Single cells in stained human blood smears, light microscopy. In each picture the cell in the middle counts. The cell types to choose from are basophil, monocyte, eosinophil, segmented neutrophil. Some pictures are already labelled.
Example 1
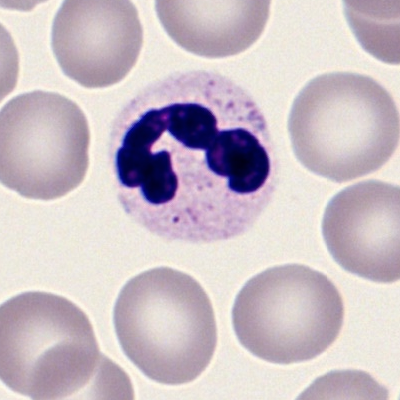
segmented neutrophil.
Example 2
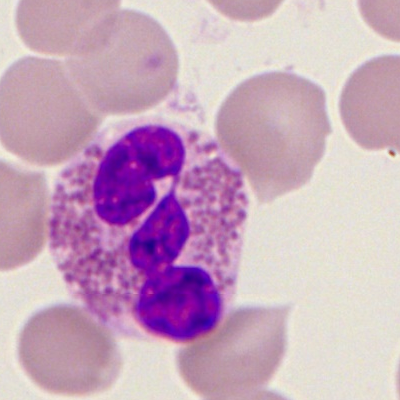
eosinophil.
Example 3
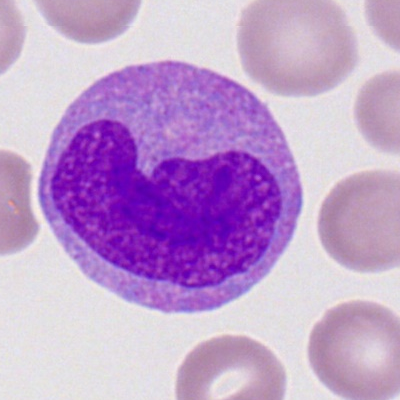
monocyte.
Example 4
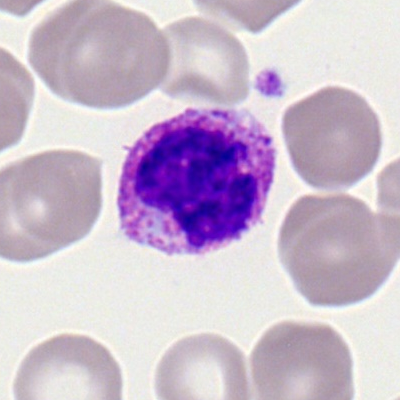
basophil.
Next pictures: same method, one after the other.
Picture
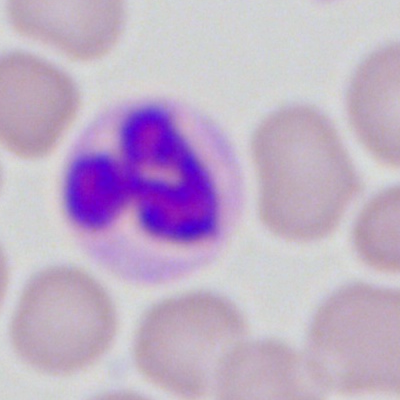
segmented neutrophil.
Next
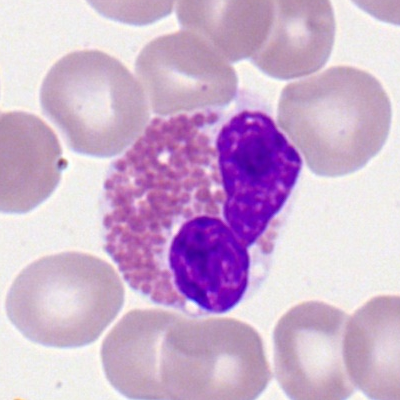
eosinophil.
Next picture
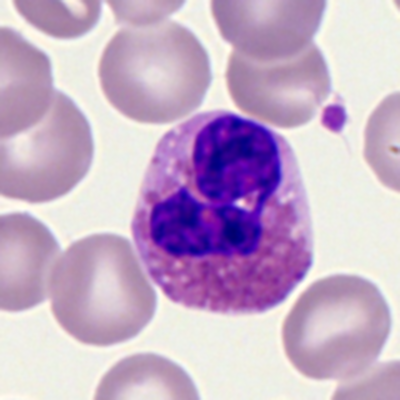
eosinophil.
